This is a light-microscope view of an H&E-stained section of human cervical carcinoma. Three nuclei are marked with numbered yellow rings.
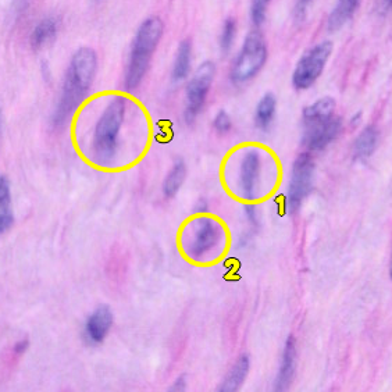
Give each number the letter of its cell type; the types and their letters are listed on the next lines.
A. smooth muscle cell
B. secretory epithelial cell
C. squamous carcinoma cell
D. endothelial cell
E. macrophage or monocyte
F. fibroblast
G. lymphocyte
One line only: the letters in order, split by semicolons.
F; A; A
